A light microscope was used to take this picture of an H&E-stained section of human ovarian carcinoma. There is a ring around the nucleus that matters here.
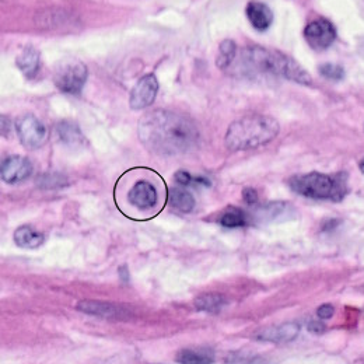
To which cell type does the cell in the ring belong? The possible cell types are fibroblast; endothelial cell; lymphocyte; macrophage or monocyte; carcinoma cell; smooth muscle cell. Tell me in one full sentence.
For the purposes of cell typing, the cell in the ring is categorized as a lymphocyte.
